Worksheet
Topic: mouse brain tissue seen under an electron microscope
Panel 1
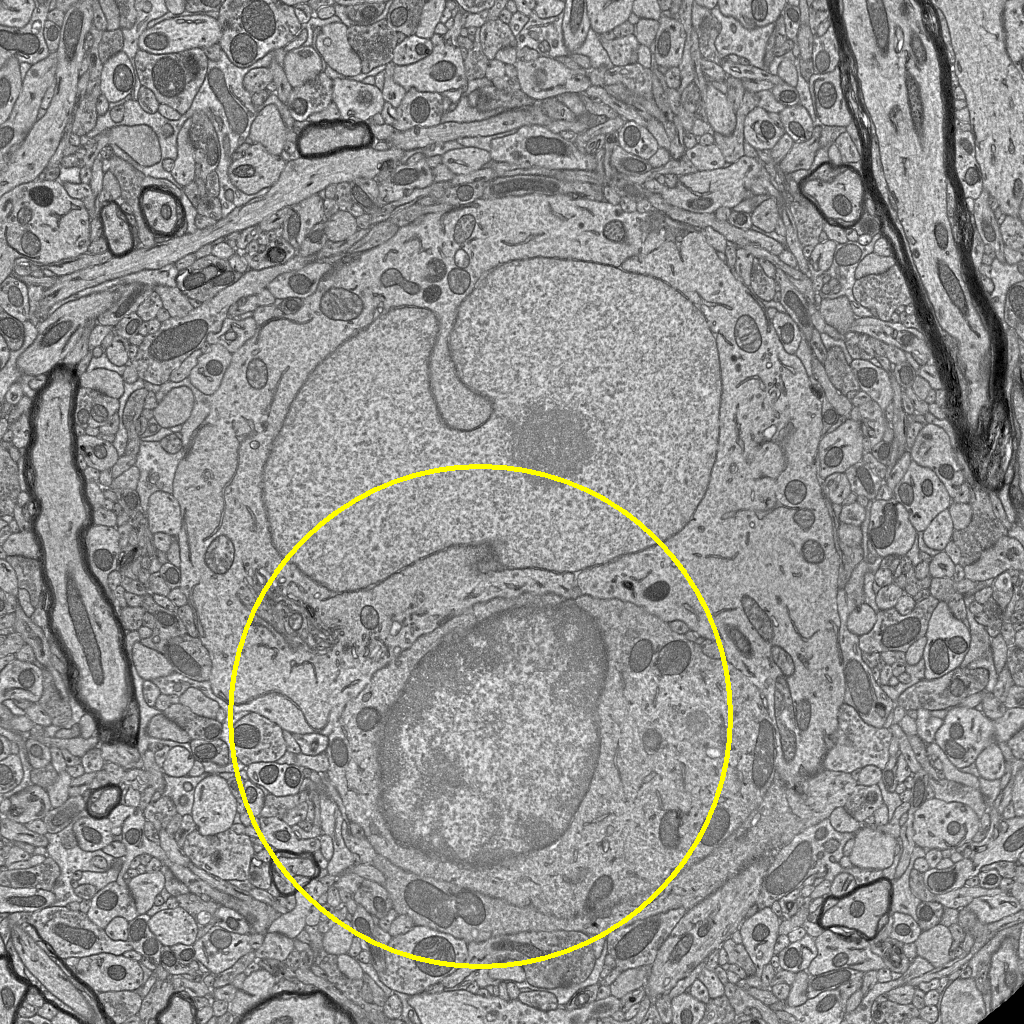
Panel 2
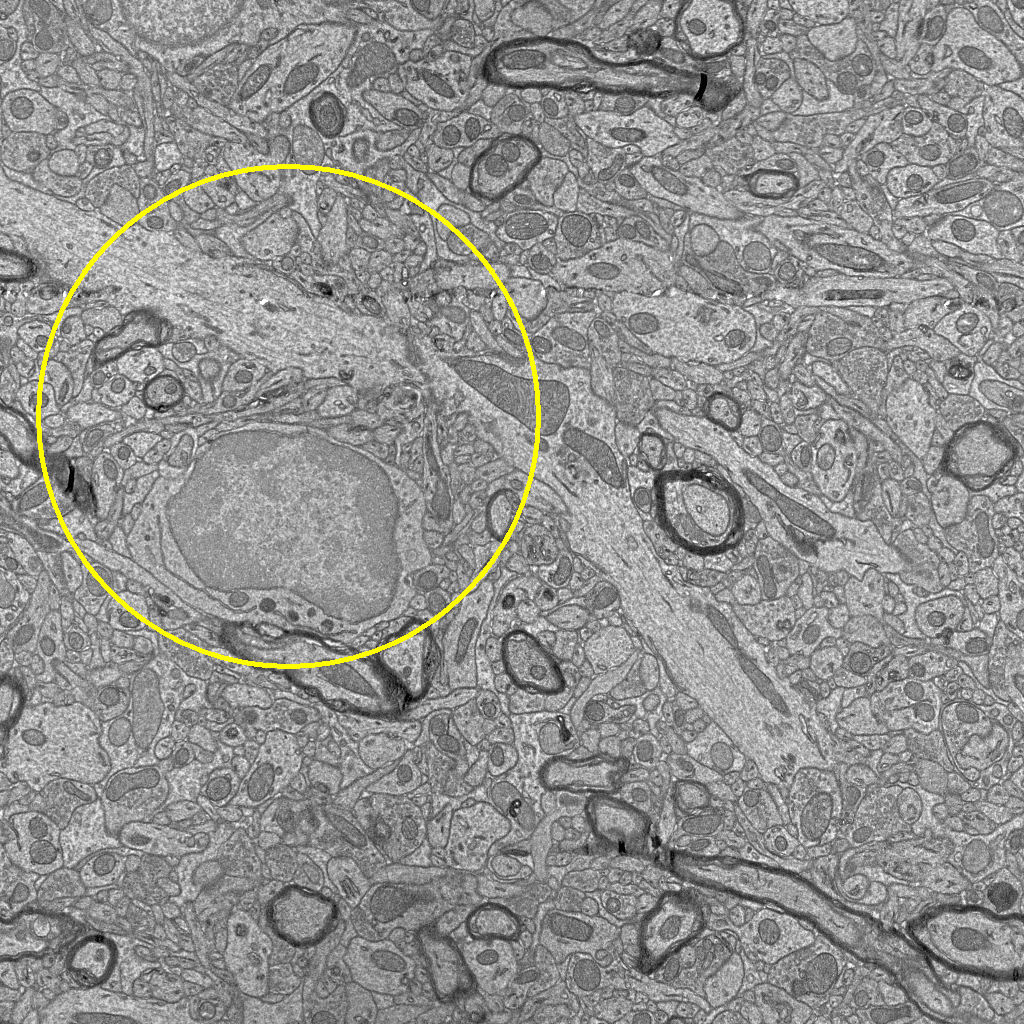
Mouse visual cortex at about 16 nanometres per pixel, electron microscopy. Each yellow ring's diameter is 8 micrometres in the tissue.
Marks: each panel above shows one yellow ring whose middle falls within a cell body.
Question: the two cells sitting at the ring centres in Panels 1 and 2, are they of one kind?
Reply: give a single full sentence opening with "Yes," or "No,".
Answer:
No, the two cells at the ring centres in Panel 1 and Panel 2 are of two kinds.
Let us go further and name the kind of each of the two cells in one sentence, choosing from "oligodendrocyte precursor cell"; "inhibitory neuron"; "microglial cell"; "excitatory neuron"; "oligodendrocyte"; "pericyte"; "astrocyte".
The ring of the first picture is on an oligodendrocyte, the ring of the second on a microglial cell.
